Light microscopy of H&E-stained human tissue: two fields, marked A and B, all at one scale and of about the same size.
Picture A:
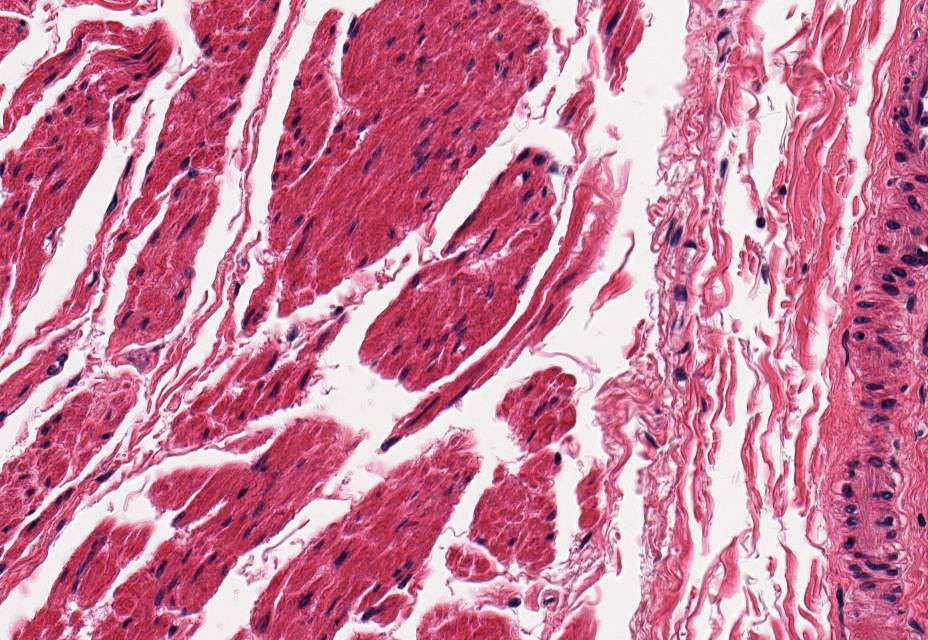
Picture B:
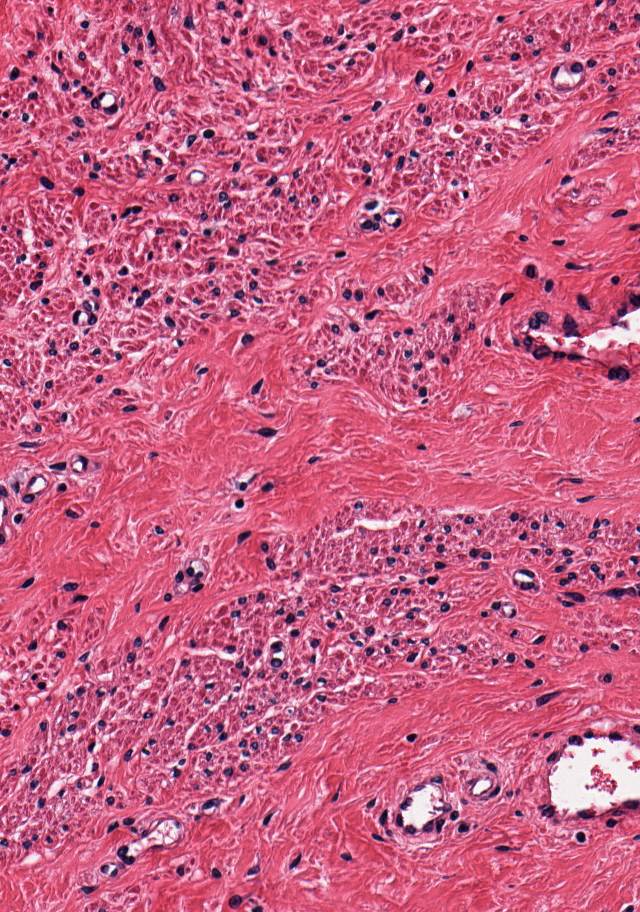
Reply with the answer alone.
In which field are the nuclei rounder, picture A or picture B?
B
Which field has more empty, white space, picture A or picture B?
A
